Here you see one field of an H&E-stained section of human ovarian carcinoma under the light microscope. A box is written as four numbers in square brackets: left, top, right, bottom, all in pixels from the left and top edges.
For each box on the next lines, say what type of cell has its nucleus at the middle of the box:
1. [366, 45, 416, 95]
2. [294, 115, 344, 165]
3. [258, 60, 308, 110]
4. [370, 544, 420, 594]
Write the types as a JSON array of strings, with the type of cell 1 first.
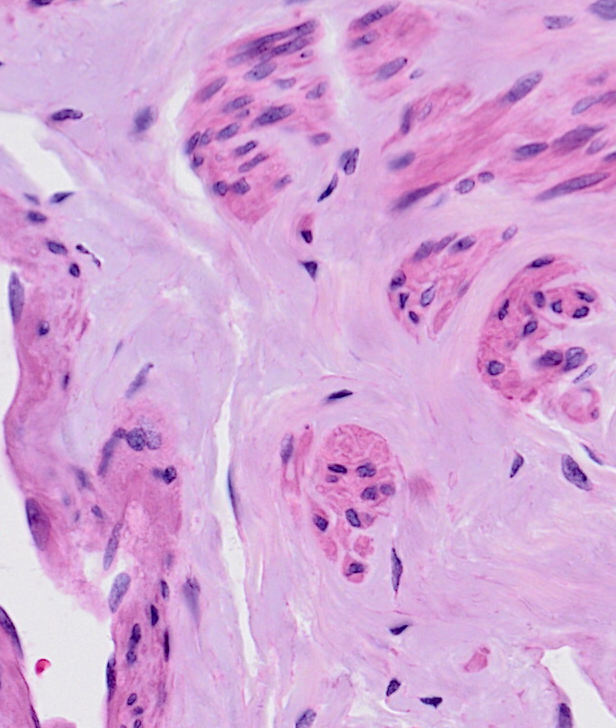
["smooth muscle cell", "smooth muscle cell", "smooth muscle cell", "fibroblast"]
